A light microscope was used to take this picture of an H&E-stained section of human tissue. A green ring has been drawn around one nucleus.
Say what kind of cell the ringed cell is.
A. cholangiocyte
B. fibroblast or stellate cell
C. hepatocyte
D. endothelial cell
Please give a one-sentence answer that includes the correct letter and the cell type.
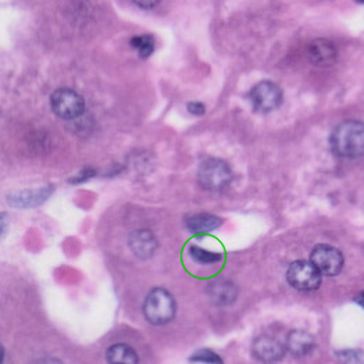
The correct option, B, describes the ringed cell as a fibroblast or stellate cell.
